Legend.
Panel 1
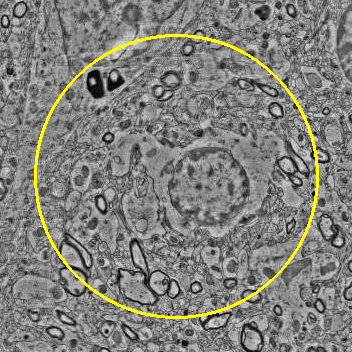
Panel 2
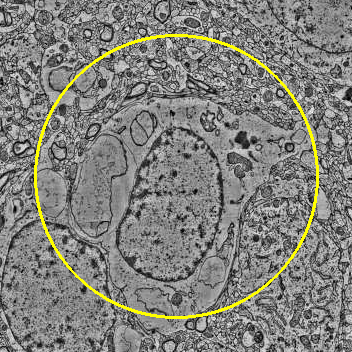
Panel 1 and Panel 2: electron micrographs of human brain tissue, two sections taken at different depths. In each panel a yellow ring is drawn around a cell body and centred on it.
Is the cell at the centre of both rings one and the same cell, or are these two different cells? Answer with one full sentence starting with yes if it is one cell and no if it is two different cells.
No, the two yellow rings correspond to two separate cells.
